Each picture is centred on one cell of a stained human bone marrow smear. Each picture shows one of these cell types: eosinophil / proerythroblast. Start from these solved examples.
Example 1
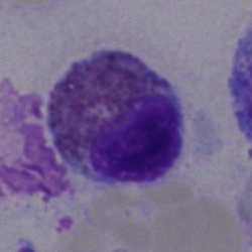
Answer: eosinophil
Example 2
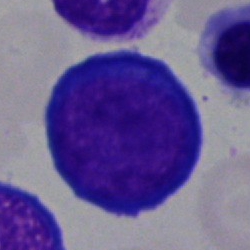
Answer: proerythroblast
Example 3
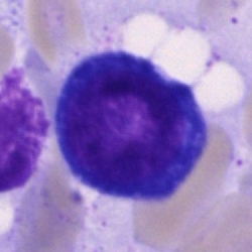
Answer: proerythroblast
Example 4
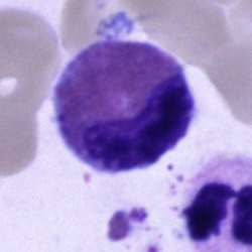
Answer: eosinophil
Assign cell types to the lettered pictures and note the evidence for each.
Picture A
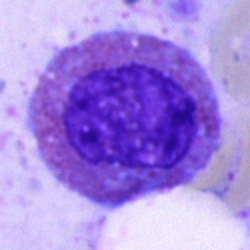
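eosinophil: Fine reddish-purple granules are scattered through the cytoplasm.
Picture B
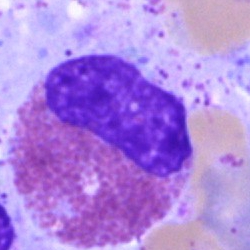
eosinophil: The cytoplasm is abundant, filling a broad area below and left of the nucleus.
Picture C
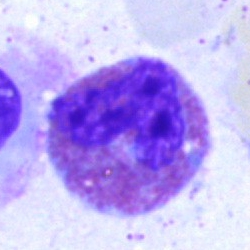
eosinophil: The cytoplasm is densely filled with small pinkish granules.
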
